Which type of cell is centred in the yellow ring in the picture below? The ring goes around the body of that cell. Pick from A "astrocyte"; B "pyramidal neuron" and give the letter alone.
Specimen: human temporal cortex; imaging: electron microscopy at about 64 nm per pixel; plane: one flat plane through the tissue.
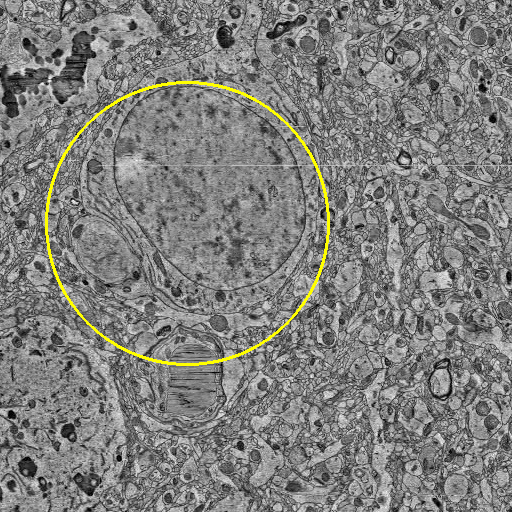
B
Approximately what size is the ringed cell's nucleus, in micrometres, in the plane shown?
In this plane the nucleus measures roughly 14 by 11 micrometres.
